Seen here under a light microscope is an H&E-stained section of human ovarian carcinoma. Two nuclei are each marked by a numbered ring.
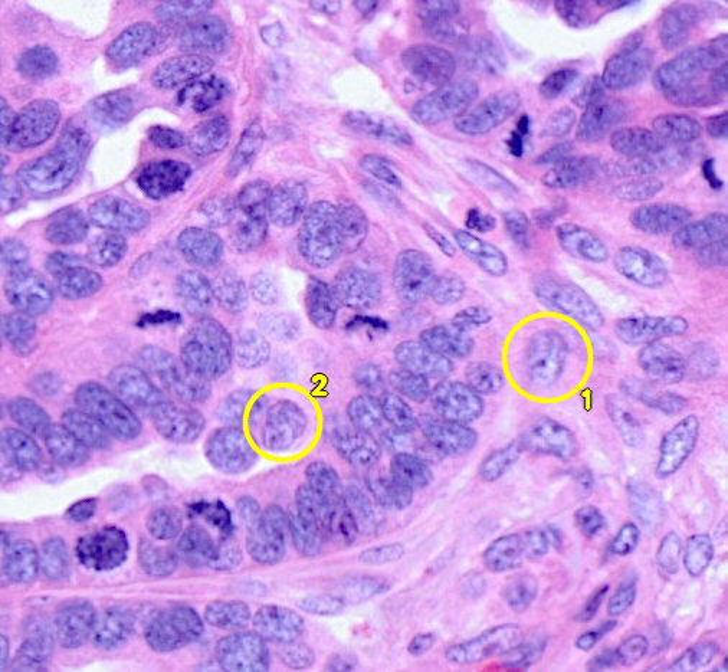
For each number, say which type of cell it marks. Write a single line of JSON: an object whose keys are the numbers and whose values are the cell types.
{"1": "fibroblast", "2": "carcinoma cell"}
